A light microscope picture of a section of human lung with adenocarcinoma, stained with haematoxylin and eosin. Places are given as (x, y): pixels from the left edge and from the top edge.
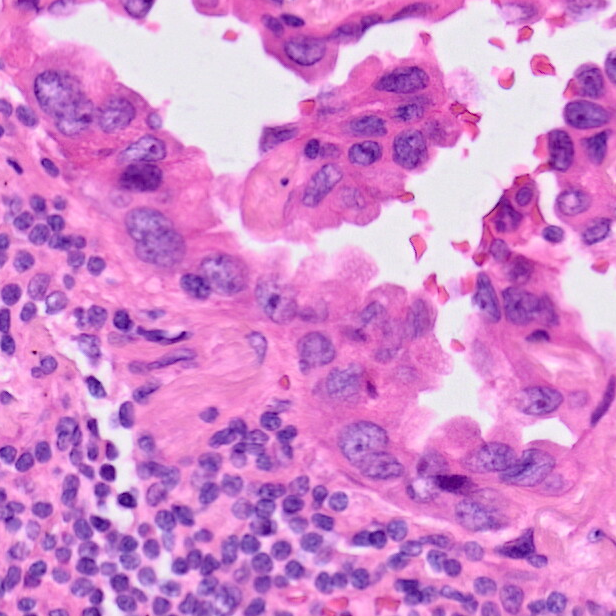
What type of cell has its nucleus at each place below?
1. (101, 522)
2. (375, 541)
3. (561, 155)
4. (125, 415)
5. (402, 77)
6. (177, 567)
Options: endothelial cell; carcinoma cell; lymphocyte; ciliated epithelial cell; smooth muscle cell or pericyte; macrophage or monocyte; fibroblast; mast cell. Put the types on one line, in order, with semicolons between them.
lymphocyte; lymphocyte; carcinoma cell; lymphocyte; carcinoma cell; lymphocyte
